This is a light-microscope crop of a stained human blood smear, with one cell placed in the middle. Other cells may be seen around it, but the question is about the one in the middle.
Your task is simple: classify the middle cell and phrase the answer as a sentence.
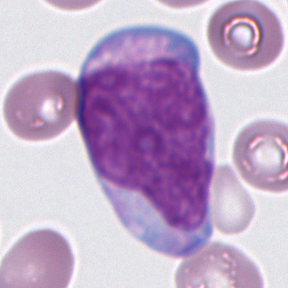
By classification, the middle cell of this crop is an atypical promyelocyte.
